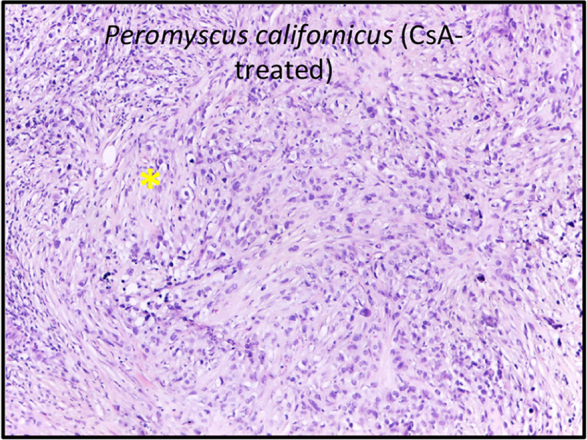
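This tumor shows many spindling cells, elongated with slender nuclei, arranged in streaming, swirling fascicles within a pale pink stroma. Between the fascicles lie clusters of larger, rounder tumor cells with plumper purple nuclei. Overall the tissue is less cellular and more loosely arranged than a solid sheet of tumor cells, with abundant pale fibrous background.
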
